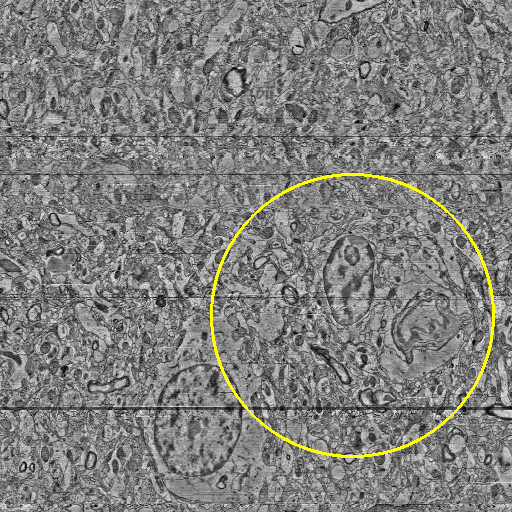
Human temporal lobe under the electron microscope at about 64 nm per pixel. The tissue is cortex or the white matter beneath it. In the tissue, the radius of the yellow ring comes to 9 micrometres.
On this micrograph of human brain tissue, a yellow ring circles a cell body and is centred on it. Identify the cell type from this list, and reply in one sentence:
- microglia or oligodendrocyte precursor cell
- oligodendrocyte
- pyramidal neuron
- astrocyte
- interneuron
The cell at the centre is a microglial cell or oligodendrocyte precursor cell.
